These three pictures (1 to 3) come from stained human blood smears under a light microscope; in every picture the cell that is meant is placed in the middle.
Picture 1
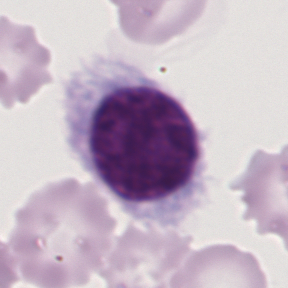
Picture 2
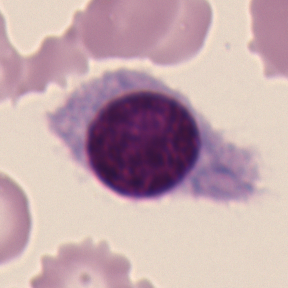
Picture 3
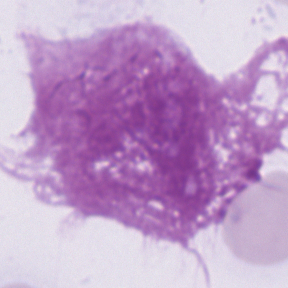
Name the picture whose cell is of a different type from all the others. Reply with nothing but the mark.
3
